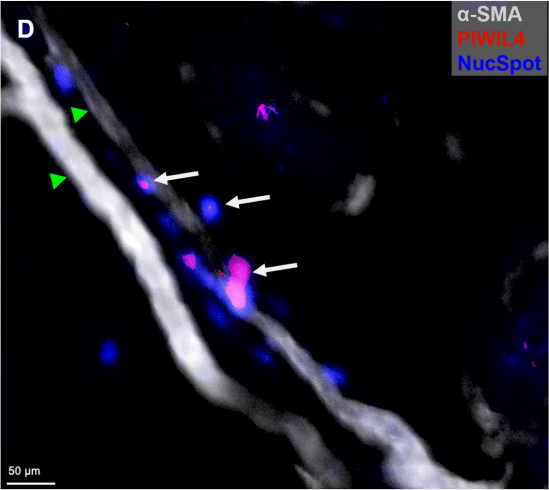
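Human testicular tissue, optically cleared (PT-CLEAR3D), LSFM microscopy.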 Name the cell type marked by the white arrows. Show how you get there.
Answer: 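The arrows point to small rounded cells with blue nuclei, some with red-magenta signal. The marked cells lie along a thin gray tubular band. On this evidence: spermatogonia.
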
